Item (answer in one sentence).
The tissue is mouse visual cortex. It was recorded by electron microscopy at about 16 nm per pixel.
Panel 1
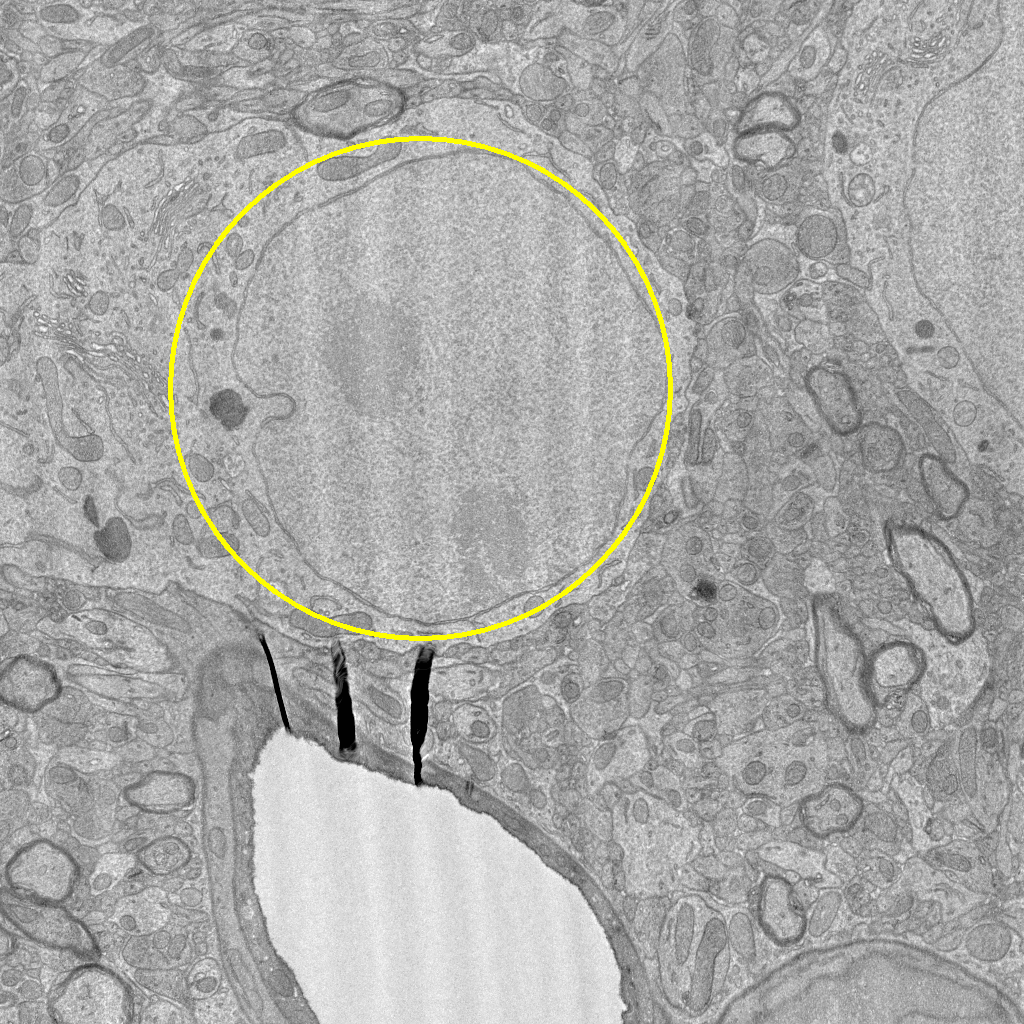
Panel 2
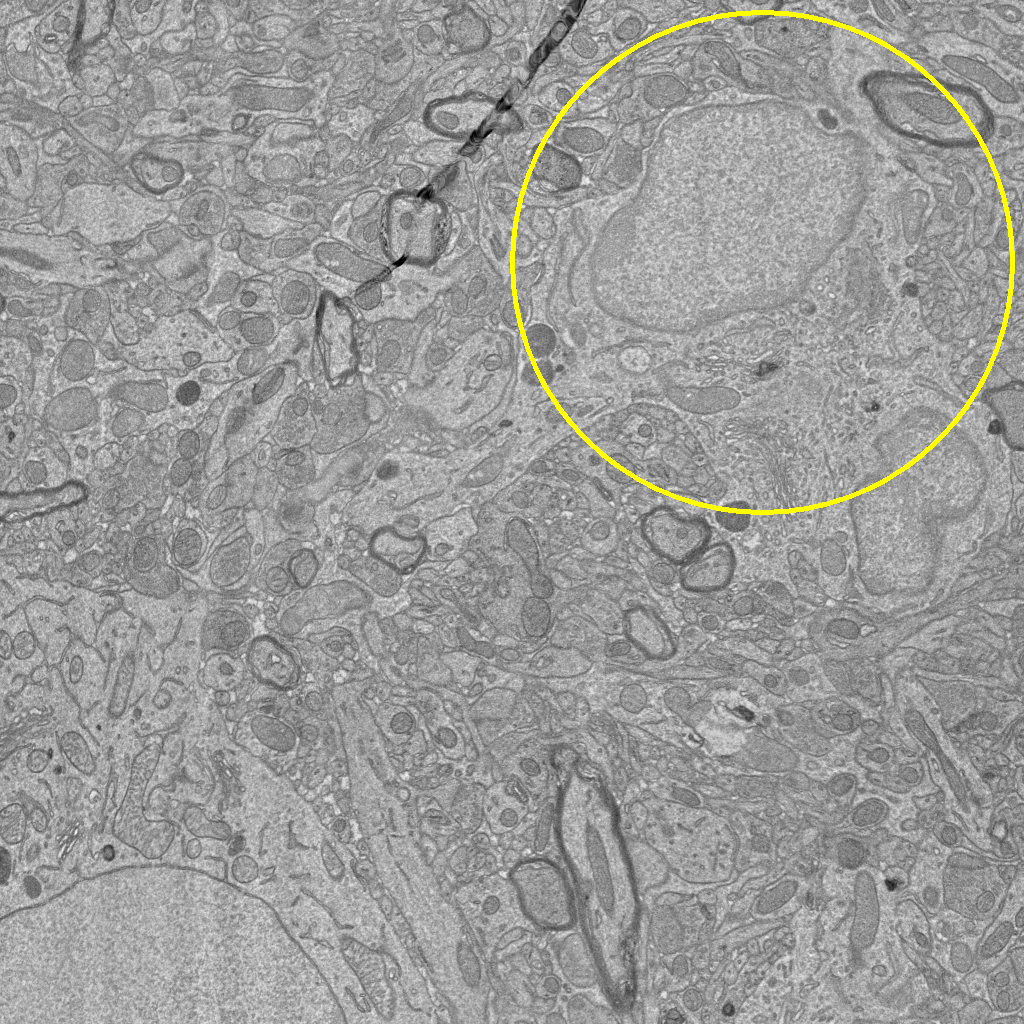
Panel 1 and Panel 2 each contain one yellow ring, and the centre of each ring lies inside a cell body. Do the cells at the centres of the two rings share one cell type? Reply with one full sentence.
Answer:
No, Panel 1 and Panel 2 show cells of two types at the centres of their rings.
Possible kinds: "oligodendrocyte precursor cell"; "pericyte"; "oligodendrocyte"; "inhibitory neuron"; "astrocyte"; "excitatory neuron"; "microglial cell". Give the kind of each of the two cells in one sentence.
The cell at the centre of the second ring is an oligodendrocyte precursor cell; the first ring's cell is an excitatory neuron.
